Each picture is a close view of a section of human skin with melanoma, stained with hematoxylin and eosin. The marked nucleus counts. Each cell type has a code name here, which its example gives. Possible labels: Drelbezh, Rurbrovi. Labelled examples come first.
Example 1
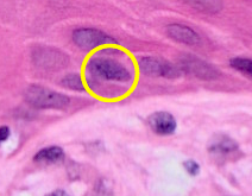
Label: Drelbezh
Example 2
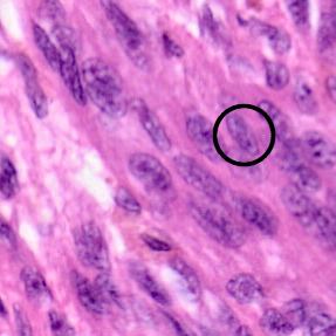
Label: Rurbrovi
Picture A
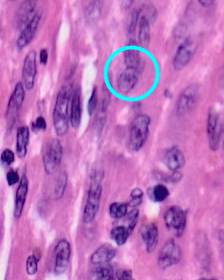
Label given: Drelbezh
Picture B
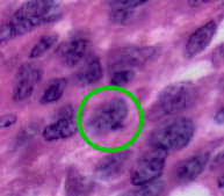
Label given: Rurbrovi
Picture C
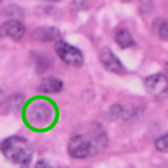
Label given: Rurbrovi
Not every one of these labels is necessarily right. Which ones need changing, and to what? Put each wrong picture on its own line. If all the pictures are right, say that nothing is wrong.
A: change Drelbezh to Rurbrovi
